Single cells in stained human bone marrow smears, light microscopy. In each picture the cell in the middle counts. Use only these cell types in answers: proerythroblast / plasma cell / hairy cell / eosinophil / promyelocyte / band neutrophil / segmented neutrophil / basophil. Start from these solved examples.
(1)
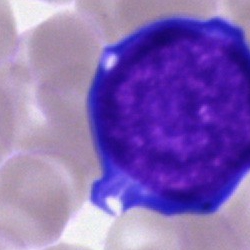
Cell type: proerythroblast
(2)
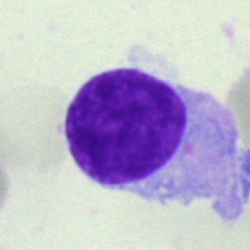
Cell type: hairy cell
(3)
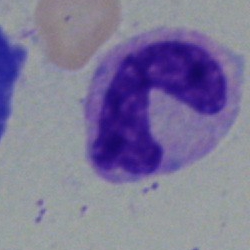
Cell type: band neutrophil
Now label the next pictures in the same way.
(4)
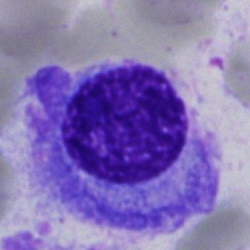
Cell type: plasma cell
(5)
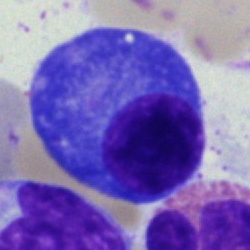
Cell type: plasma cell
